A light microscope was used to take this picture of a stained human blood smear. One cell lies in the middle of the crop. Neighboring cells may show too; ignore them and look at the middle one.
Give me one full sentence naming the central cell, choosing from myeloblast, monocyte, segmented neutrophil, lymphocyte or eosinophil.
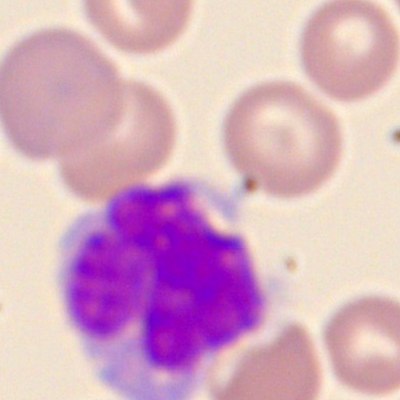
The cell that lies at the centre of the crop is a monocyte.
